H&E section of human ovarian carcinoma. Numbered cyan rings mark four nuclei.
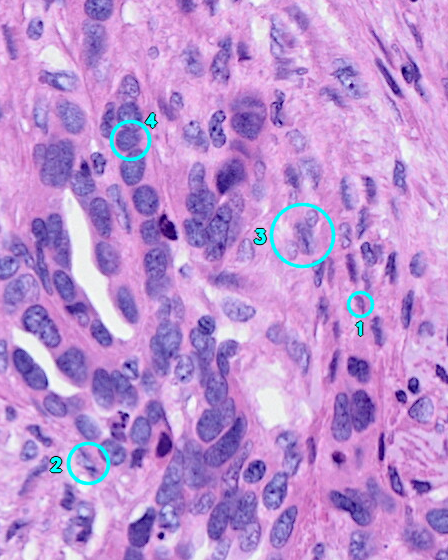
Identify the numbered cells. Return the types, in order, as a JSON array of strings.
["fibroblast", "fibroblast", "fibroblast", "carcinoma cell"]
